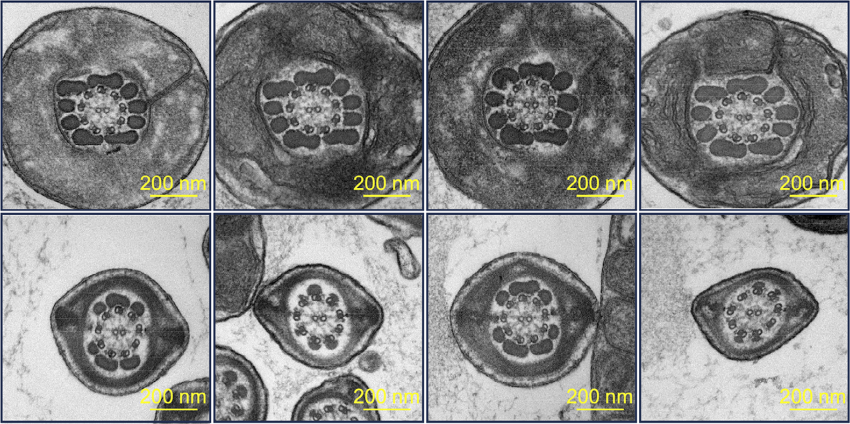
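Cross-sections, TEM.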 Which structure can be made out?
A: sperm tails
